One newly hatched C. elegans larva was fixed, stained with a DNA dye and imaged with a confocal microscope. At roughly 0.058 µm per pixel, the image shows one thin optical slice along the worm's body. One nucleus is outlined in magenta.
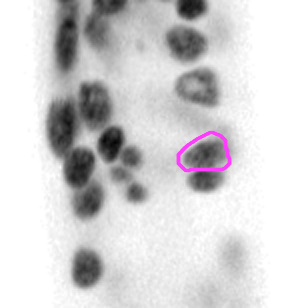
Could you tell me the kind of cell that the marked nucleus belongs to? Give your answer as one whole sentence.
It is the nucleus of a valve cell of the gut.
